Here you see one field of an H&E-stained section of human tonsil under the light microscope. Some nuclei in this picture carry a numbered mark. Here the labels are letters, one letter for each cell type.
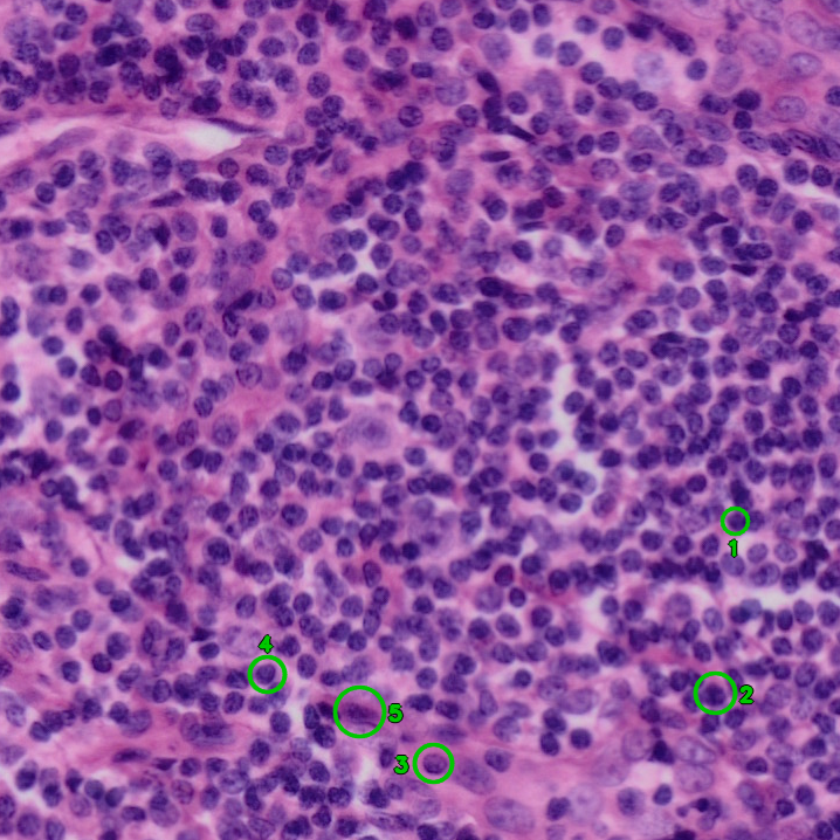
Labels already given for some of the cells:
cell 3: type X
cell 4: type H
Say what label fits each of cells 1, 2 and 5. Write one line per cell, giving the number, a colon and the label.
1: type H
2: type H
5: type X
